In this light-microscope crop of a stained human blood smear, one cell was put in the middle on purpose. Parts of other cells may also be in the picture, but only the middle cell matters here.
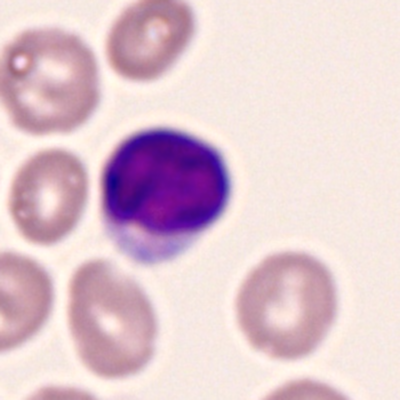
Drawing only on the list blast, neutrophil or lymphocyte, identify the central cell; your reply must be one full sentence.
The cell at the middle of the frame should be recorded as a lymphocyte.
